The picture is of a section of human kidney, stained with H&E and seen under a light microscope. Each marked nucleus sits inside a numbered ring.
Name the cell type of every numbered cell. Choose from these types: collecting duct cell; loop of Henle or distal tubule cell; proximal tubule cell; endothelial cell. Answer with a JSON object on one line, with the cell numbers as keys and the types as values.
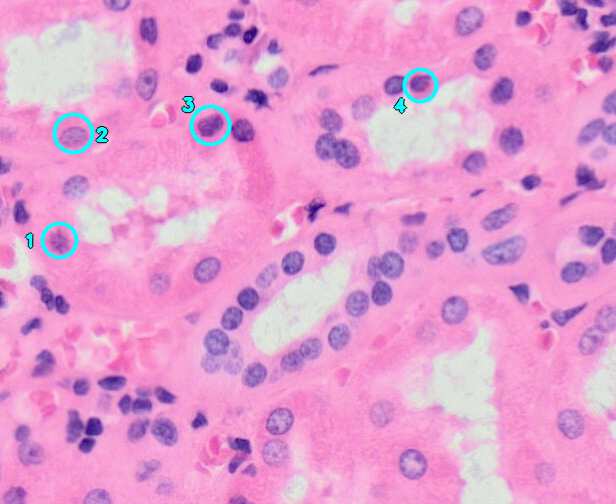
{"1": "proximal tubule cell", "2": "proximal tubule cell", "3": "proximal tubule cell", "4": "loop of Henle or distal tubule cell"}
